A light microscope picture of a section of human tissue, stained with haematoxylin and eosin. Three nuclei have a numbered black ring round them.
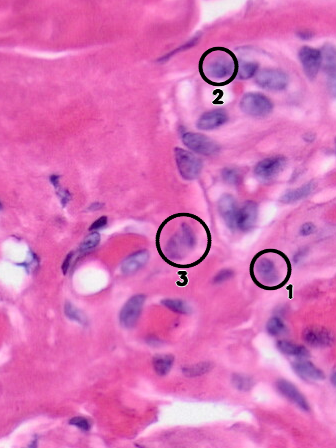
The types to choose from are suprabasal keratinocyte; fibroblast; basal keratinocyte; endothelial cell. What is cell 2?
endothelial cell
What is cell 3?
fibroblast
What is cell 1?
fibroblast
